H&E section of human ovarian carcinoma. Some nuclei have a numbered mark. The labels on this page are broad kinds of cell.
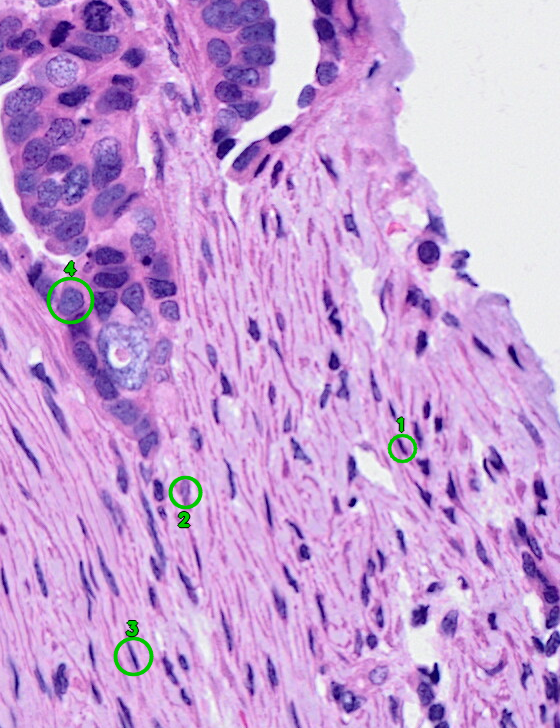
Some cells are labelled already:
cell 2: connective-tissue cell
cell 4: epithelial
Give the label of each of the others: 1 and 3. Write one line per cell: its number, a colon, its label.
1: connective-tissue cell
3: connective-tissue cell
